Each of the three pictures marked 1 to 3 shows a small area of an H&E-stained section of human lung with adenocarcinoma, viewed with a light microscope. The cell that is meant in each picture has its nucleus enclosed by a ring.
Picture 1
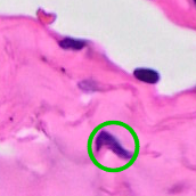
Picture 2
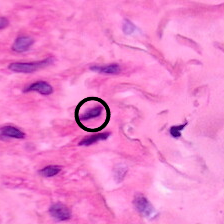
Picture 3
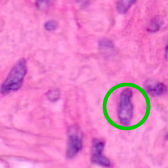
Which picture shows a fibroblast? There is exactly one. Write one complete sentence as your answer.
It is picture 1 that shows the fibroblast.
